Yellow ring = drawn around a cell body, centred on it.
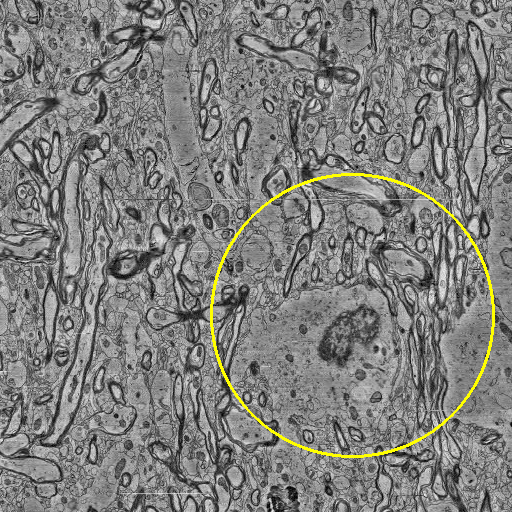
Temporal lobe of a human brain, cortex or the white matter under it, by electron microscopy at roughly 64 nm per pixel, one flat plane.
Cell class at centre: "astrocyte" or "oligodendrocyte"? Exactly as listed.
astrocyte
